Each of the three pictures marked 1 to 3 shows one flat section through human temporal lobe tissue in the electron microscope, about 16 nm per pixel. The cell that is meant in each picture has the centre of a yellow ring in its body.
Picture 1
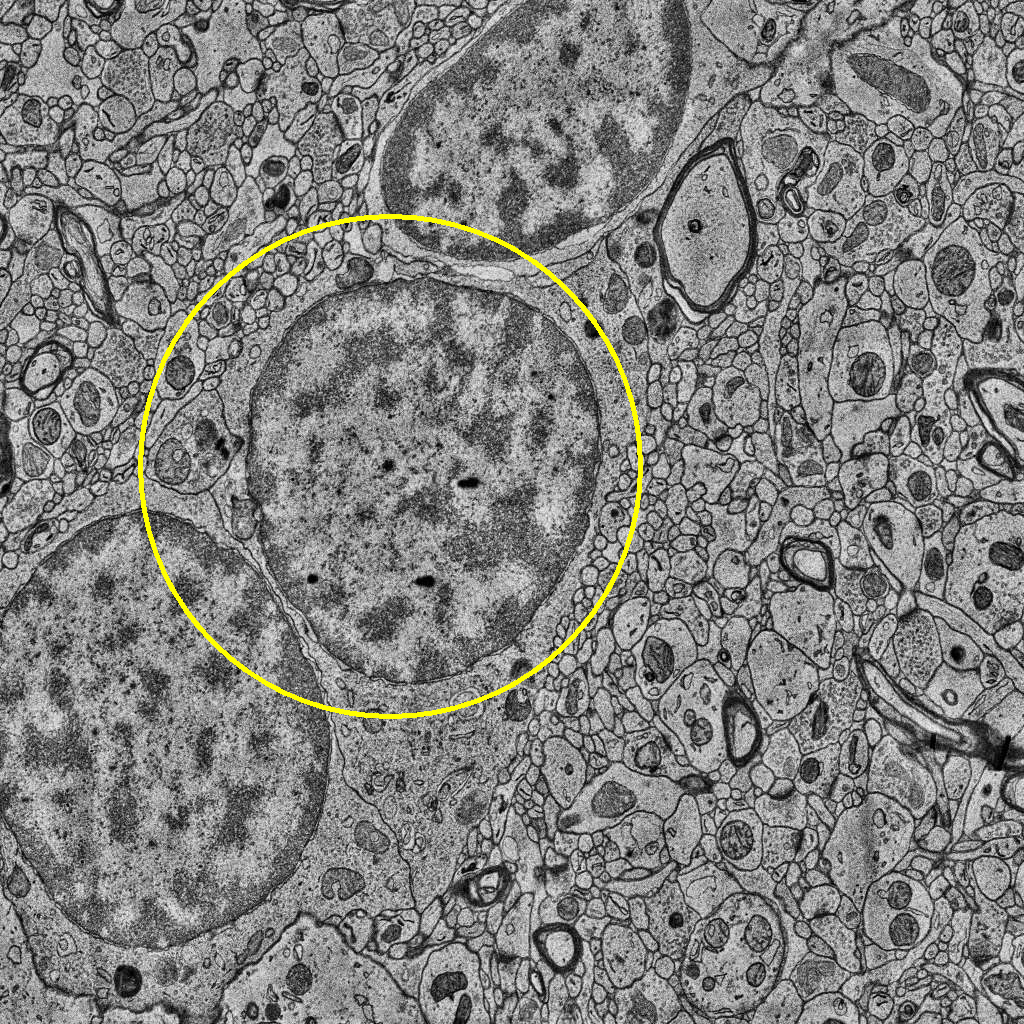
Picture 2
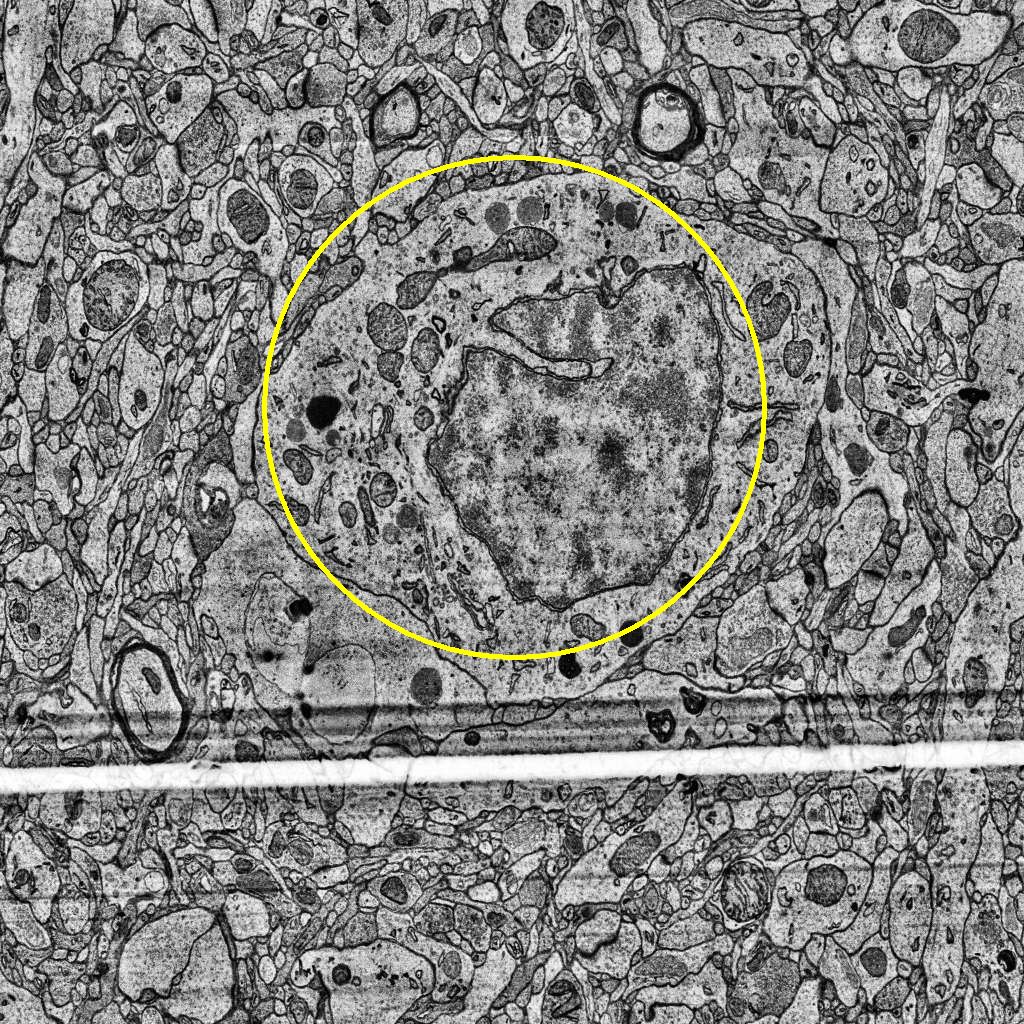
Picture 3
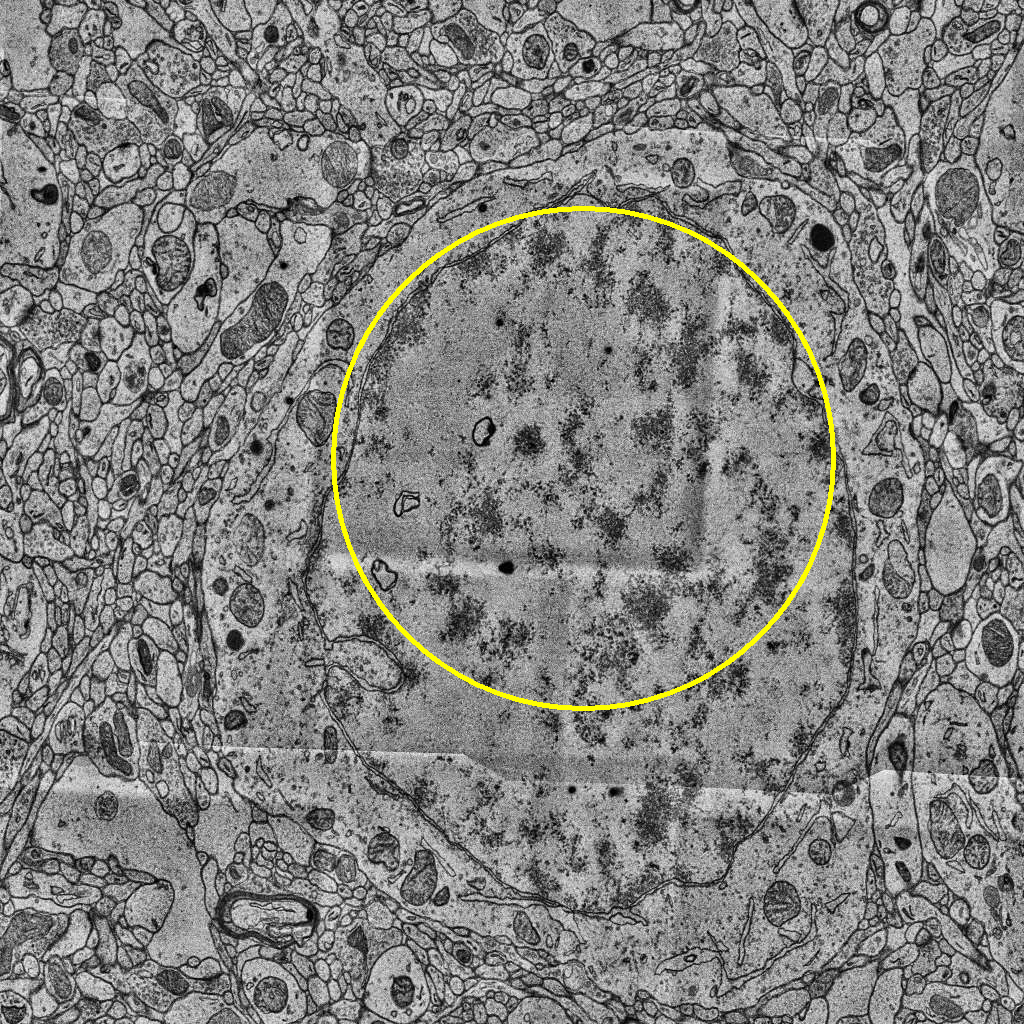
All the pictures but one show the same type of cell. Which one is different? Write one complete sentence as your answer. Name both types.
Picture 1 differs, because its cell is an oligodendrocyte and the rest are interneurons.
